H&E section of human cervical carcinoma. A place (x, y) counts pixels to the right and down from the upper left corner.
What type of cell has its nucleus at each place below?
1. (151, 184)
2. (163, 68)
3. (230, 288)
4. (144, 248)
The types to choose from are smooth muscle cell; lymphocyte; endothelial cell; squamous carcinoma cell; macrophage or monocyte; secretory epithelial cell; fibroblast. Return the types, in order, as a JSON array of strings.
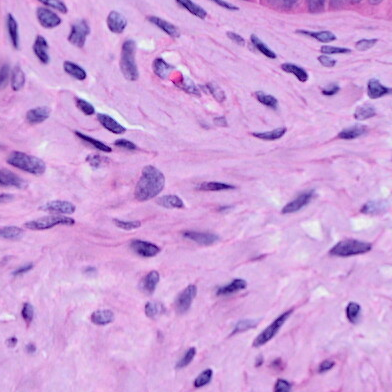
["fibroblast", "endothelial cell", "fibroblast", "fibroblast"]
